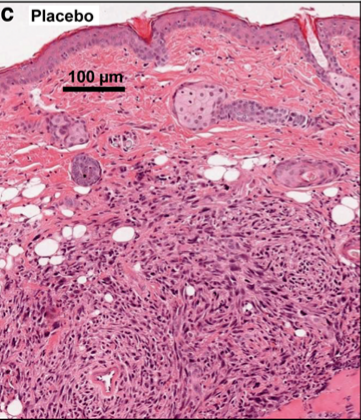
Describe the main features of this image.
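This is a section through skin overlying a tumour, stained pink and purple. At the top is a layered squamous epidermis. Beneath it, pink dermis holds skin appendages and a few clear, round fat cells. The lower half is taken up by a dense, highly cellular tumour. It is made of spindle-shaped cells with elongated purple nuclei. These cells are arranged in crowded, interlacing bundles, with little space between them. No bleeding or sheets of inflammatory cells are evident. Overall the tissue is compact and orderly, apart from the crowding of the tumour.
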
